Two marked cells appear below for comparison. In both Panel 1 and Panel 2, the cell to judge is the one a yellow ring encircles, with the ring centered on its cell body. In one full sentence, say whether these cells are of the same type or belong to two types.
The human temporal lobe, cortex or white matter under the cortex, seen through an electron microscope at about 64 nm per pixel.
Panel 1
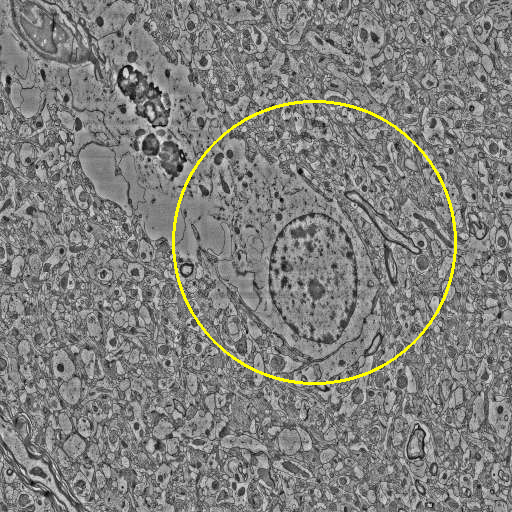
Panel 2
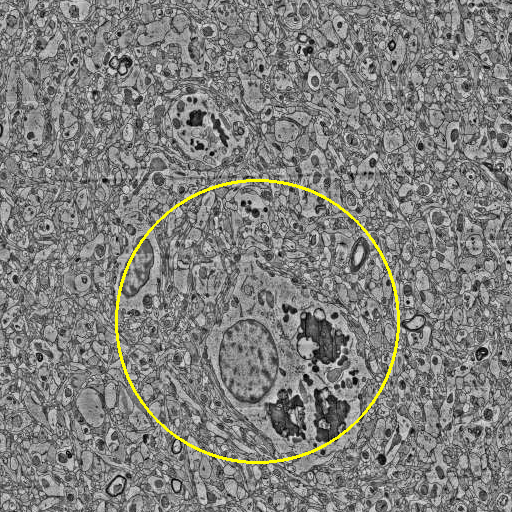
The cell centered in the Panel 1 ring and the one in Panel 2 are of the same type.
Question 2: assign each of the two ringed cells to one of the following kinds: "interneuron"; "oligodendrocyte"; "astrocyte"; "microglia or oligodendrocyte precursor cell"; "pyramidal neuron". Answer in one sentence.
The second cell is an astrocyte, just as the first is.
